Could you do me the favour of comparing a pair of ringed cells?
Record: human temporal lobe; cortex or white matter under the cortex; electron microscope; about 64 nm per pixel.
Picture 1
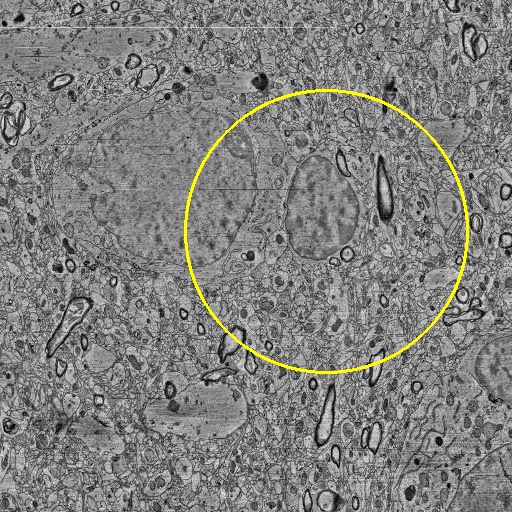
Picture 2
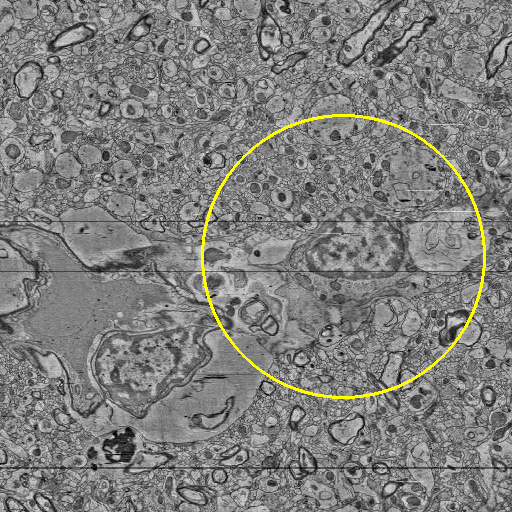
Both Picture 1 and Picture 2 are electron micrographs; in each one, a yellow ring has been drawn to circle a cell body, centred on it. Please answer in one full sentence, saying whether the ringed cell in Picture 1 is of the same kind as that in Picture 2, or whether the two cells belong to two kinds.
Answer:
The ringed cell in Picture 1 is of the same kind as that in Picture 2.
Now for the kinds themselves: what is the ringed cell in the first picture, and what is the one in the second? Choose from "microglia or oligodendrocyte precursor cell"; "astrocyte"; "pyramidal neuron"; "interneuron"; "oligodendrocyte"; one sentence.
Both cells are the same kind, each one being an oligodendrocyte.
